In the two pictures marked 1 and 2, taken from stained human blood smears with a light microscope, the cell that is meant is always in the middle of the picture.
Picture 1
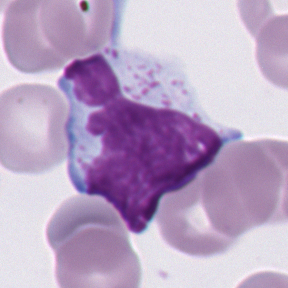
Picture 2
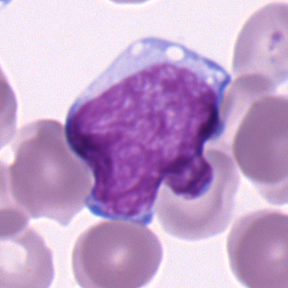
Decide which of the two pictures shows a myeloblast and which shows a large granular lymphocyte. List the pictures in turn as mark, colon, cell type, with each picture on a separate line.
1: large granular lymphocyte
2: myeloblast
